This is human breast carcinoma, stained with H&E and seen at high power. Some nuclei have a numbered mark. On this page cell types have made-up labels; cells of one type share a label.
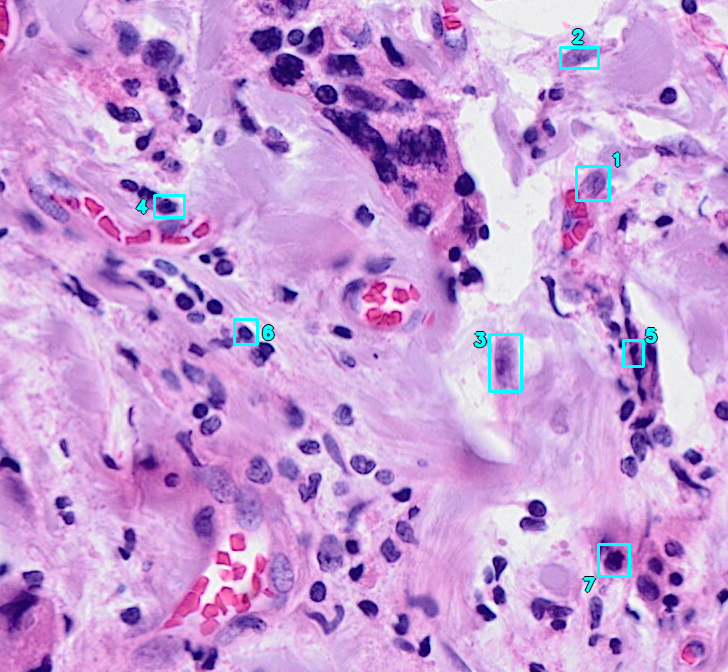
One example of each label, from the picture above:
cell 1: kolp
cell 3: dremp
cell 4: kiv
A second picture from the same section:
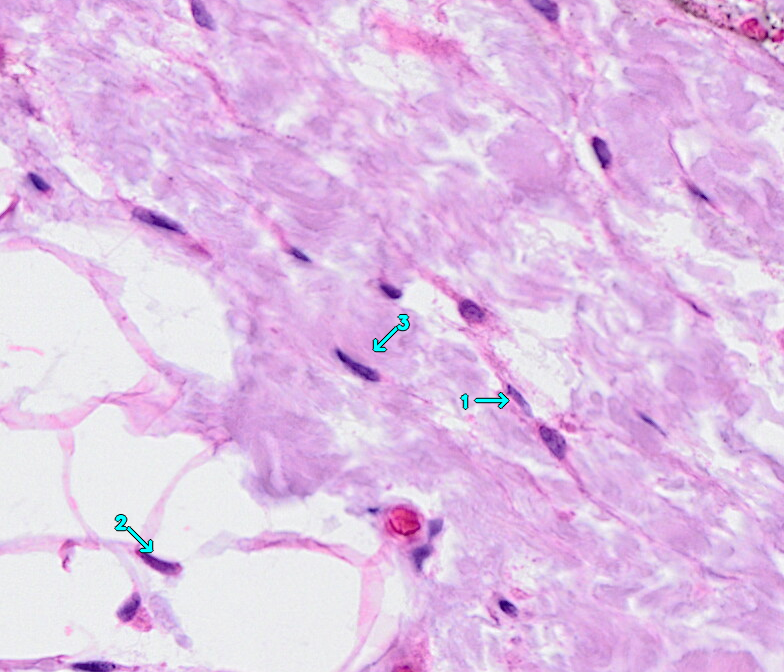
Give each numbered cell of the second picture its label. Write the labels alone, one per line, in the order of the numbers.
dremp
kolp
dremp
